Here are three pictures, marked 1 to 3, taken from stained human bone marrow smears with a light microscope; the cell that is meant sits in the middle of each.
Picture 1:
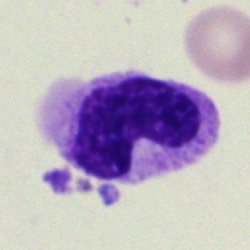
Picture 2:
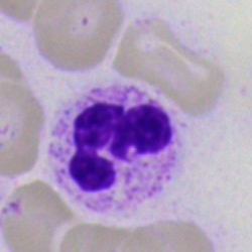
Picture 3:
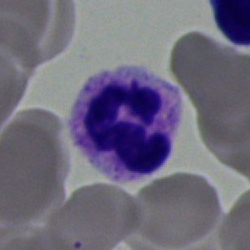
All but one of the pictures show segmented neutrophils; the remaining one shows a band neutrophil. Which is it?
1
